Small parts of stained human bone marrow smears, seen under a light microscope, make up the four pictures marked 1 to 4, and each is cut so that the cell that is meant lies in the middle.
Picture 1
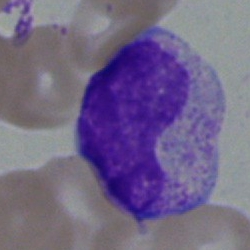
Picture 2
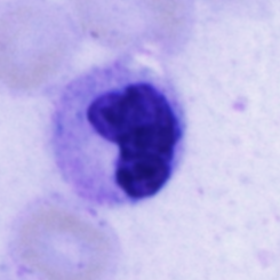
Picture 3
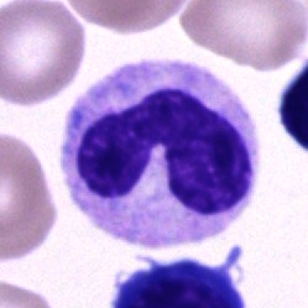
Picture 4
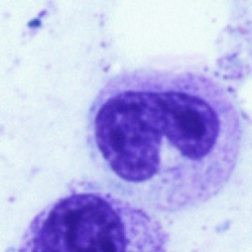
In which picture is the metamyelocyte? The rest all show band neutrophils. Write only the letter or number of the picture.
1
